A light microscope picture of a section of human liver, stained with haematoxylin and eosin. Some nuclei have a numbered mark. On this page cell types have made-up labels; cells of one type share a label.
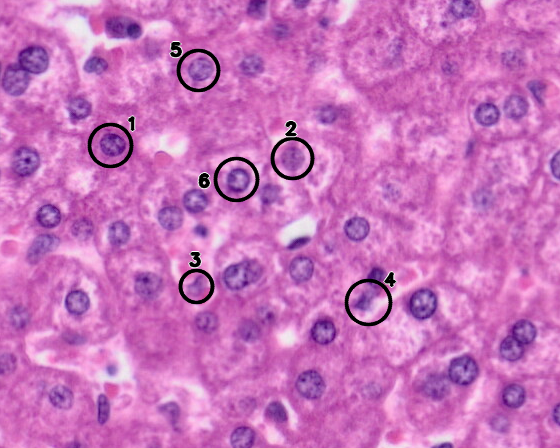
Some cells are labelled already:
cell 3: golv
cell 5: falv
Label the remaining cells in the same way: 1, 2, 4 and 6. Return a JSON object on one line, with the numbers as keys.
{"1": "falv", "2": "falv", "4": "golv", "6": "falv"}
